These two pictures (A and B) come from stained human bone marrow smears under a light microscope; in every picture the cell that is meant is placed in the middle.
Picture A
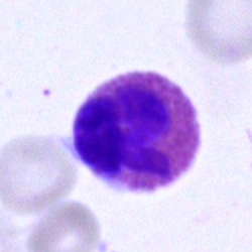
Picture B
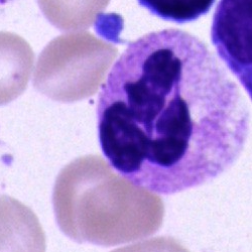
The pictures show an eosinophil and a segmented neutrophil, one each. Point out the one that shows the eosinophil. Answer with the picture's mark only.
A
